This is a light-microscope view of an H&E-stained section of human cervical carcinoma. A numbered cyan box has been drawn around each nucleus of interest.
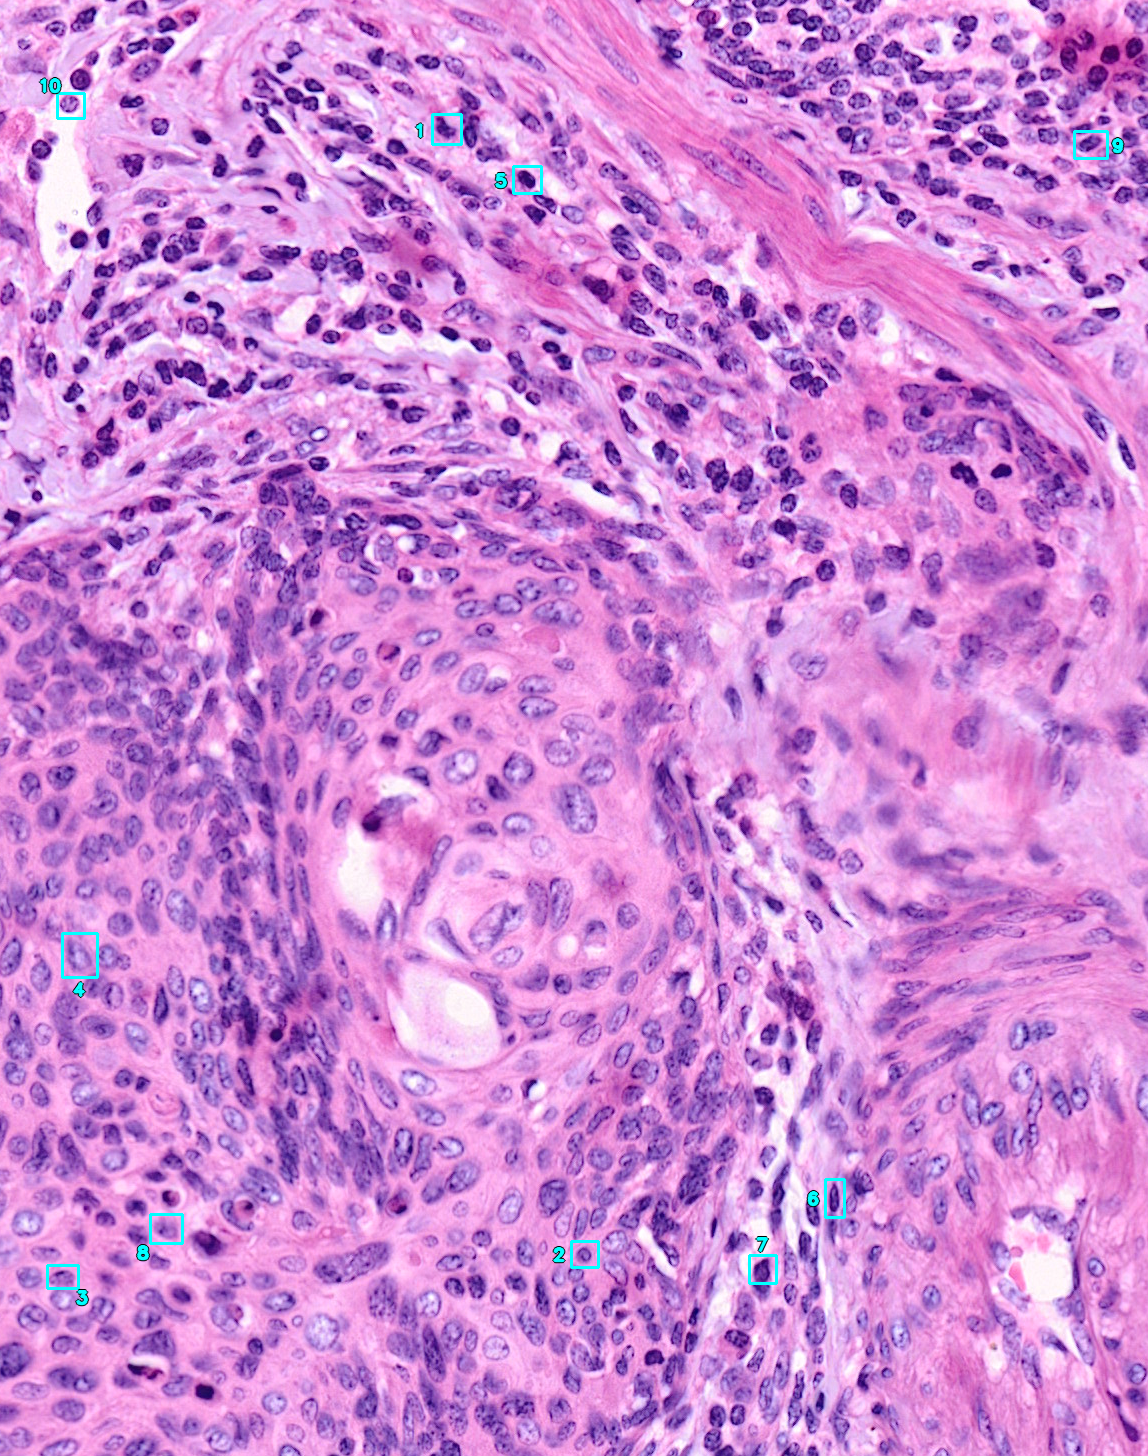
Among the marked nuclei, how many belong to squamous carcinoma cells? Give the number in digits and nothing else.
4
